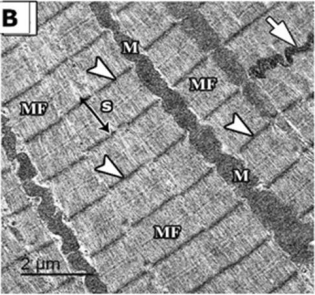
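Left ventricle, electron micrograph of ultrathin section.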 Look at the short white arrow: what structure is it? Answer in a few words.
Intercalated disc.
